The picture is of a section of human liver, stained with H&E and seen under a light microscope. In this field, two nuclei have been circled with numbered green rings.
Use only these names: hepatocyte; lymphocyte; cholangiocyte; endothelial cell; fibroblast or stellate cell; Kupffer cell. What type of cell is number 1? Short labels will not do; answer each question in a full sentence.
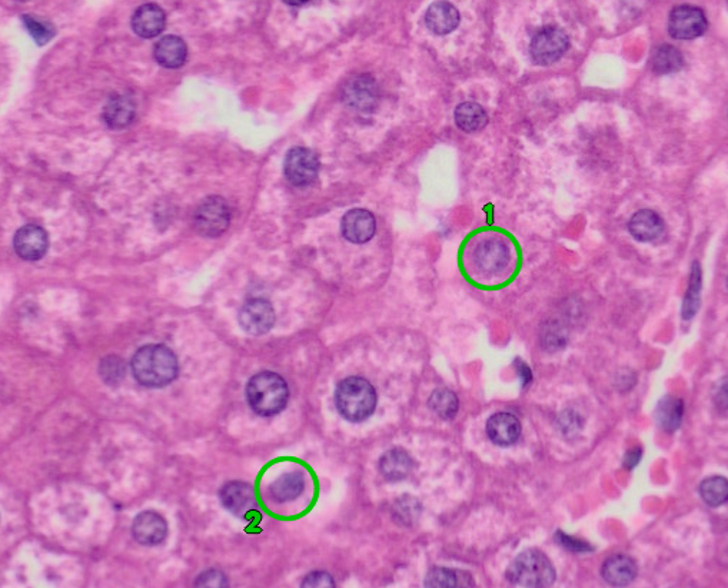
In the tissue shown, cell 1 is a hepatocyte.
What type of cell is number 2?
The nucleus labeled 2 belongs to a Kupffer cell.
